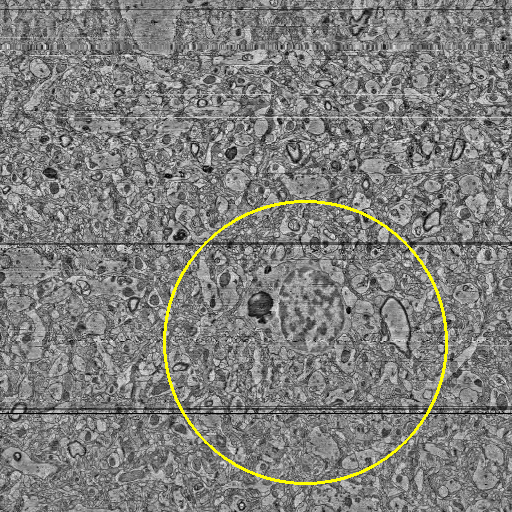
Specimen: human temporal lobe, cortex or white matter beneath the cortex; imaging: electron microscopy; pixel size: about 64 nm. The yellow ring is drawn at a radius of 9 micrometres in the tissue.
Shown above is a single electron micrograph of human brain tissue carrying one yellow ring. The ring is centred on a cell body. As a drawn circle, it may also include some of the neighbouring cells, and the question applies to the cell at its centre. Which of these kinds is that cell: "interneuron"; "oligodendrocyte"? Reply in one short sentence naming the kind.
The cell marked by the ring is an oligodendrocyte.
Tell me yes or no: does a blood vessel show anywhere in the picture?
No.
